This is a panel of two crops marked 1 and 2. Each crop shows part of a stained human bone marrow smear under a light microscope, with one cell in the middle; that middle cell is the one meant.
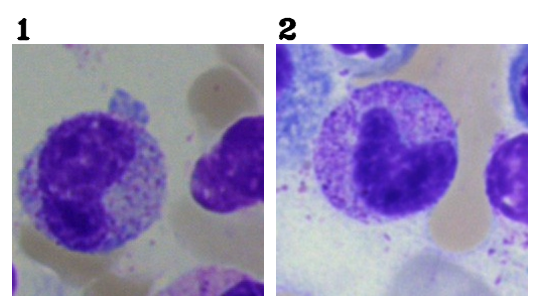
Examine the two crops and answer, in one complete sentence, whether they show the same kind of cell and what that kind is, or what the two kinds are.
Yes, the cells in the centres of the two crops are metamyelocytes.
